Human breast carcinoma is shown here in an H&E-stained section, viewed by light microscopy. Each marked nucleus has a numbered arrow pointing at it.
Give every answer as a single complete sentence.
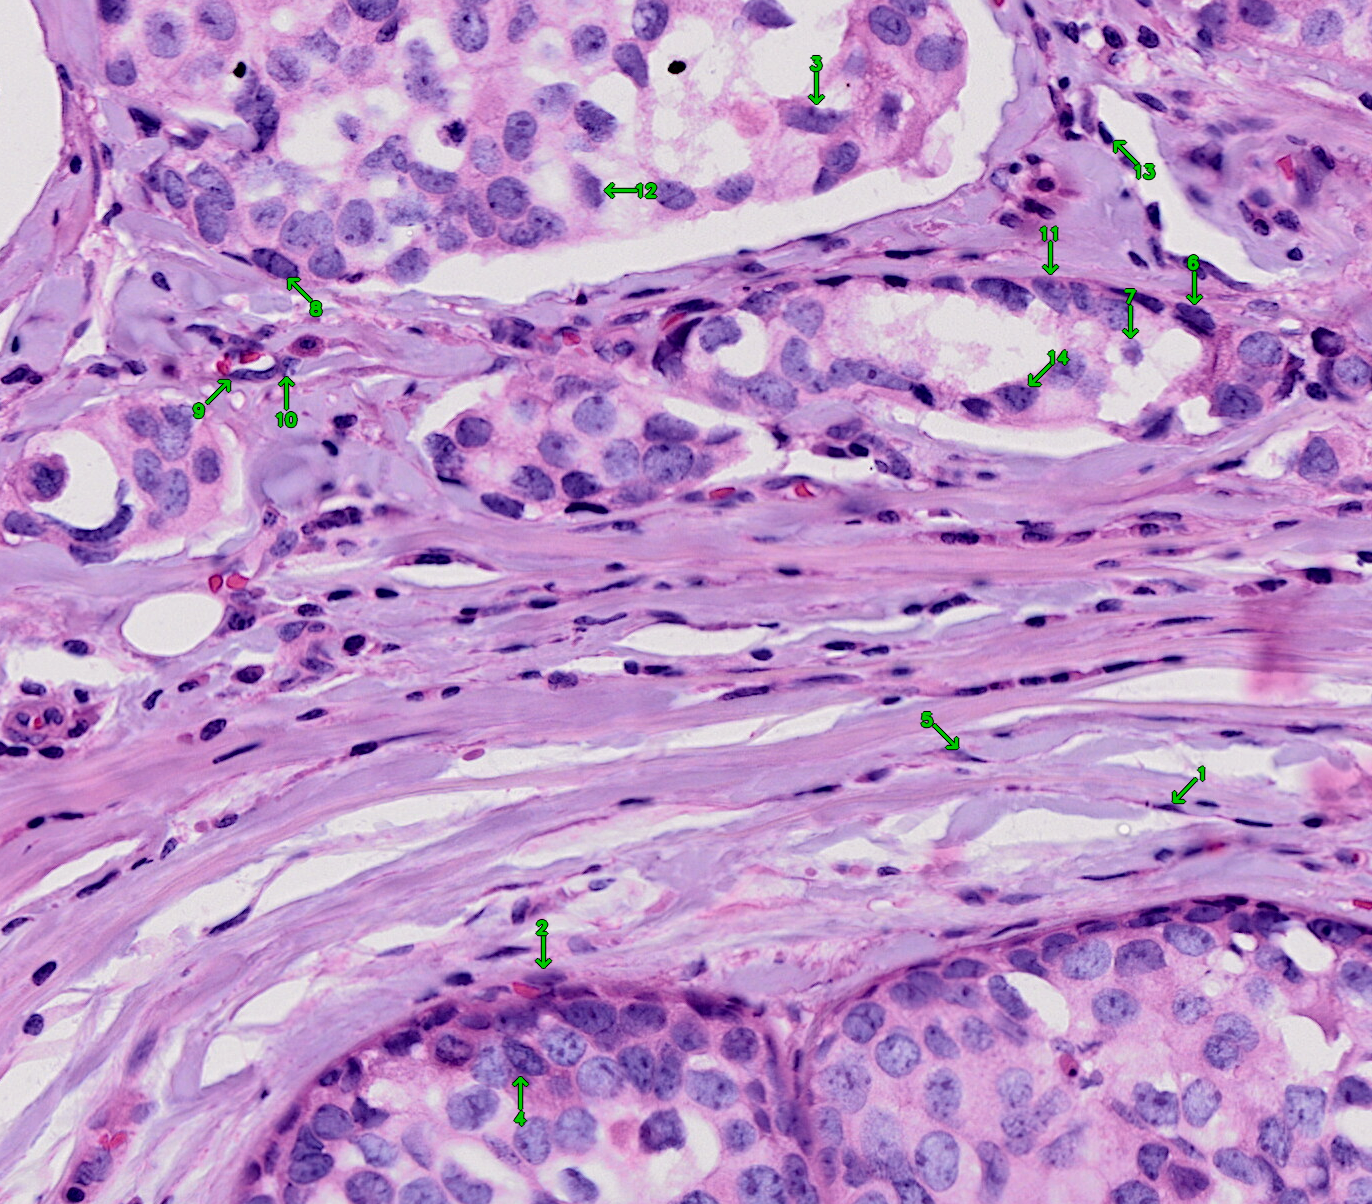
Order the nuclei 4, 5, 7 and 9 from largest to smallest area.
The nuclei rank 4, 7, 5, 9, from largest to smallest.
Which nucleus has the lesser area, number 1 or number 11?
Nucleus 1 is the smaller one; nucleus 11 covers about 4 times its area.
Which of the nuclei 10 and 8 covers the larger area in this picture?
Number 8 is larger; its area is about 4 times that of number 10.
